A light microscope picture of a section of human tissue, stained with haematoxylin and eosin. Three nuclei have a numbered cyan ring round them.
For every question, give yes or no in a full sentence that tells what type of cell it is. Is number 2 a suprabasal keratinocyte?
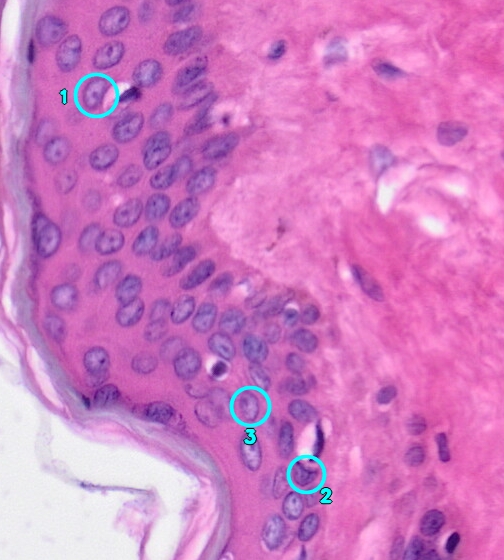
No, cell 2 is to be classed as a basal keratinocyte, not a suprabasal keratinocyte.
